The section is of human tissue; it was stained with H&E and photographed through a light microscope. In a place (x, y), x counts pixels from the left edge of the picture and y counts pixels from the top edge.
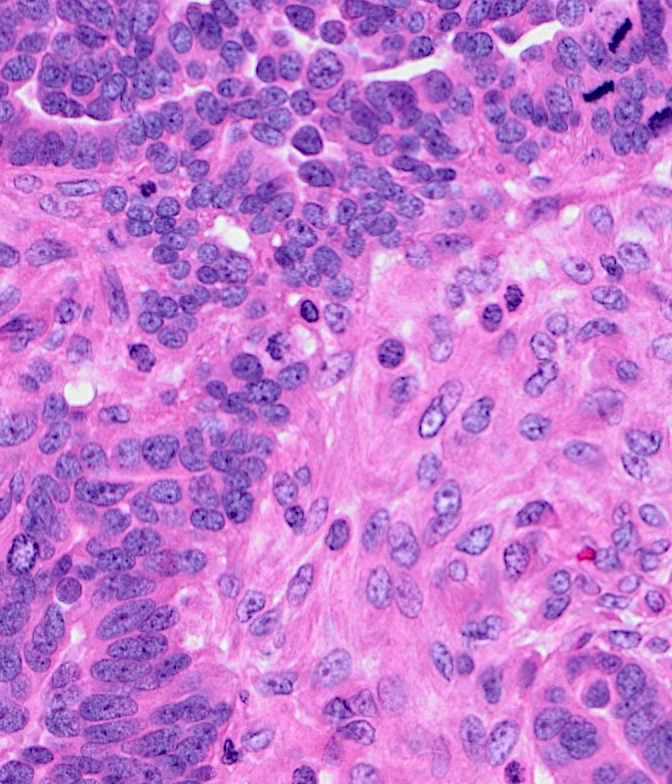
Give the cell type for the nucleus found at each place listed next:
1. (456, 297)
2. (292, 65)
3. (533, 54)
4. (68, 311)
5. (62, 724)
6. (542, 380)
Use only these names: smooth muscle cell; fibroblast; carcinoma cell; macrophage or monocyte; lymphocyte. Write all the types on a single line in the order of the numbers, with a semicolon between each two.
fibroblast; carcinoma cell; carcinoma cell; fibroblast; carcinoma cell; fibroblast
